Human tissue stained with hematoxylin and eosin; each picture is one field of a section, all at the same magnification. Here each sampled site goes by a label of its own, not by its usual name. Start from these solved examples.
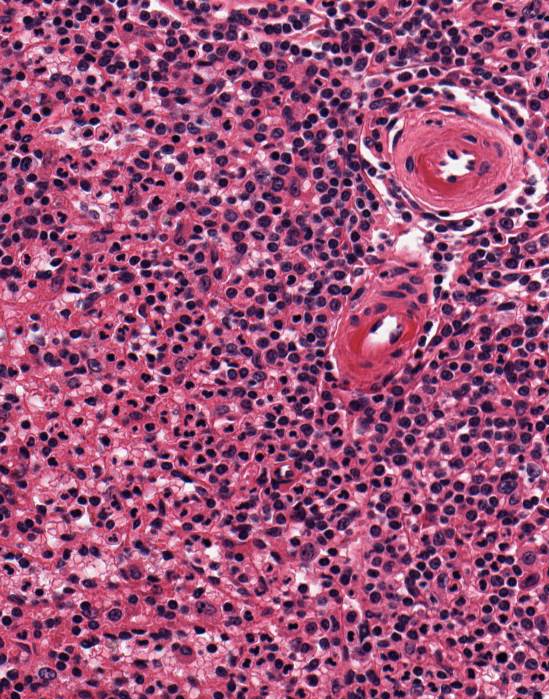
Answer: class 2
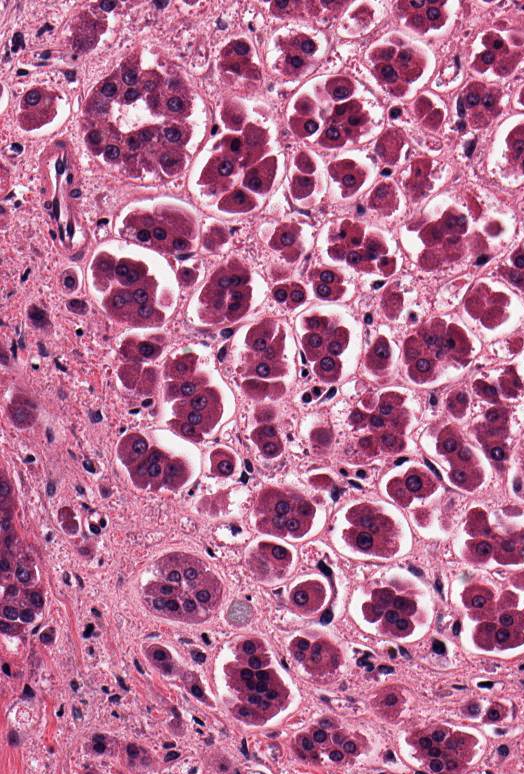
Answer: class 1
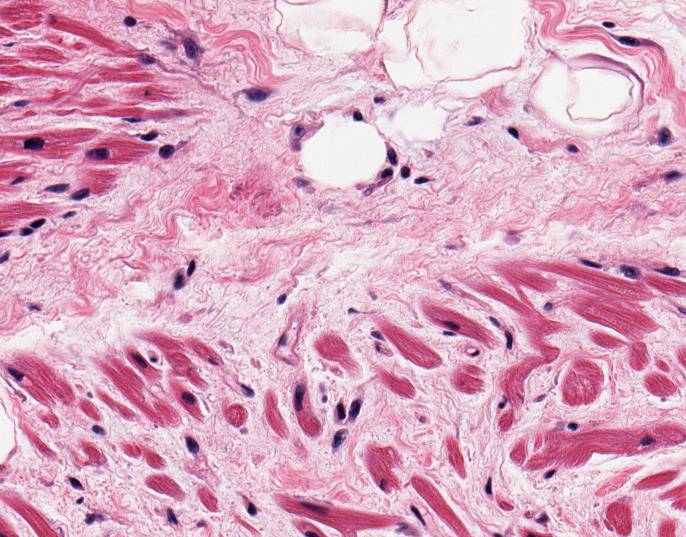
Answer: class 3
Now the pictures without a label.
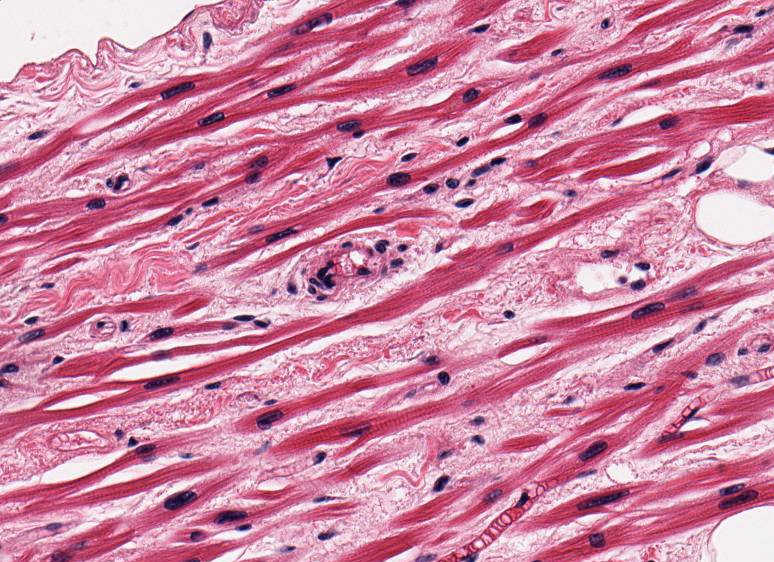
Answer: class 3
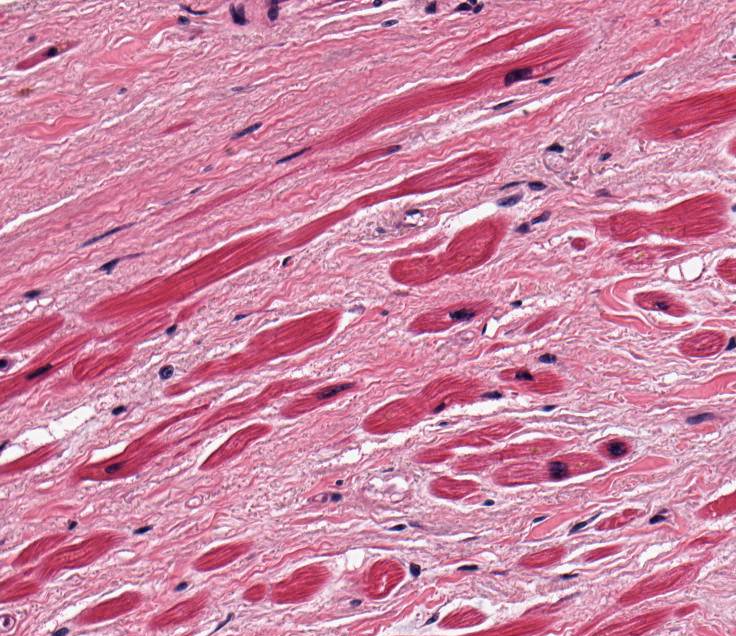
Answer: class 3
